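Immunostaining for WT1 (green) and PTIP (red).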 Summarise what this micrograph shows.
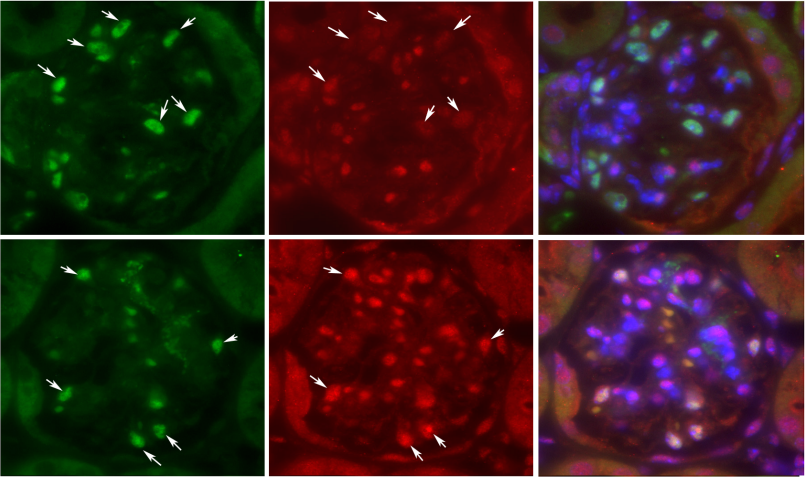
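Each image shows a rounded glomerular tuft of tightly packed nuclei, framed at the edges by cross-sections of surrounding tubules. In the green images a subset of oval nuclei lie scattered mainly along the periphery of the tuft, and white arrows point to several of them. In the red images many nuclei across the tuft glow, and in the lower row the arrowed nuclei are bright red, while in the upper row the arrowed positions are faint. In the merged images blue marks every nucleus; arrowed nuclei appear pale purple-white in the lower row but remain green in the upper row.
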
